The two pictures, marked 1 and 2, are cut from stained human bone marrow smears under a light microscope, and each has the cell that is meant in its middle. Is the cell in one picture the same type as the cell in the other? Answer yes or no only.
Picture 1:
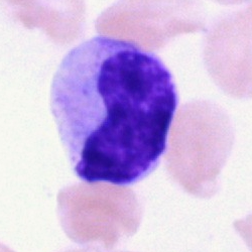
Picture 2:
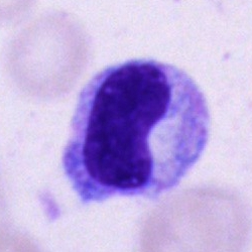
yes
